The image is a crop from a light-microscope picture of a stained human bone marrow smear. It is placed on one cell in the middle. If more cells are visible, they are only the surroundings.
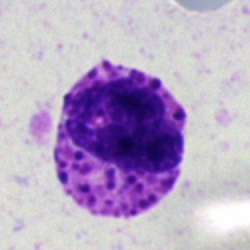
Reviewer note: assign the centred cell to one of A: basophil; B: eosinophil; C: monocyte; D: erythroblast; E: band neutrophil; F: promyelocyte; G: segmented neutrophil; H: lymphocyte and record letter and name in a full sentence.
Of the options given, A is correct, the central cell being a basophil.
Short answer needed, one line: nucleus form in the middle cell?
In this cell the nucleus is a solitary compact mass, round, oval or kidney-shaped.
